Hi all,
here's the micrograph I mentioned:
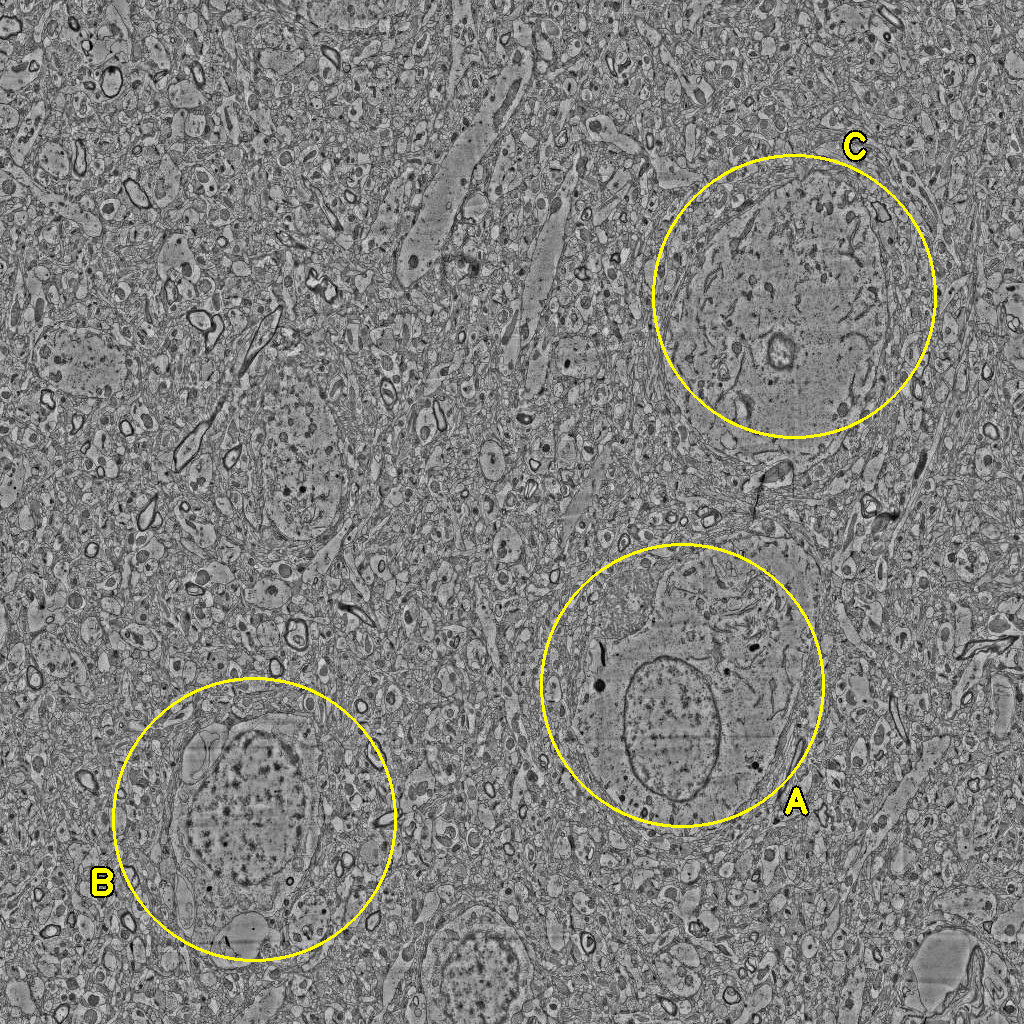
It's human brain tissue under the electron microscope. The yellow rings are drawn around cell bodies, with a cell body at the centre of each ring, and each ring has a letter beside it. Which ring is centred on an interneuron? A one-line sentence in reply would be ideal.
It's the one labelled B.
